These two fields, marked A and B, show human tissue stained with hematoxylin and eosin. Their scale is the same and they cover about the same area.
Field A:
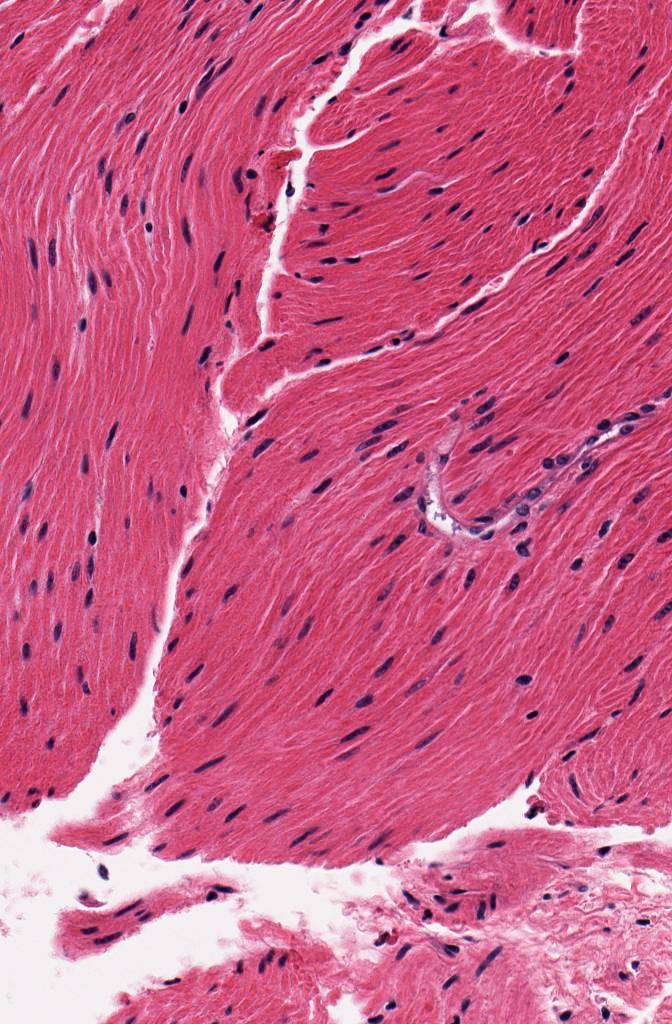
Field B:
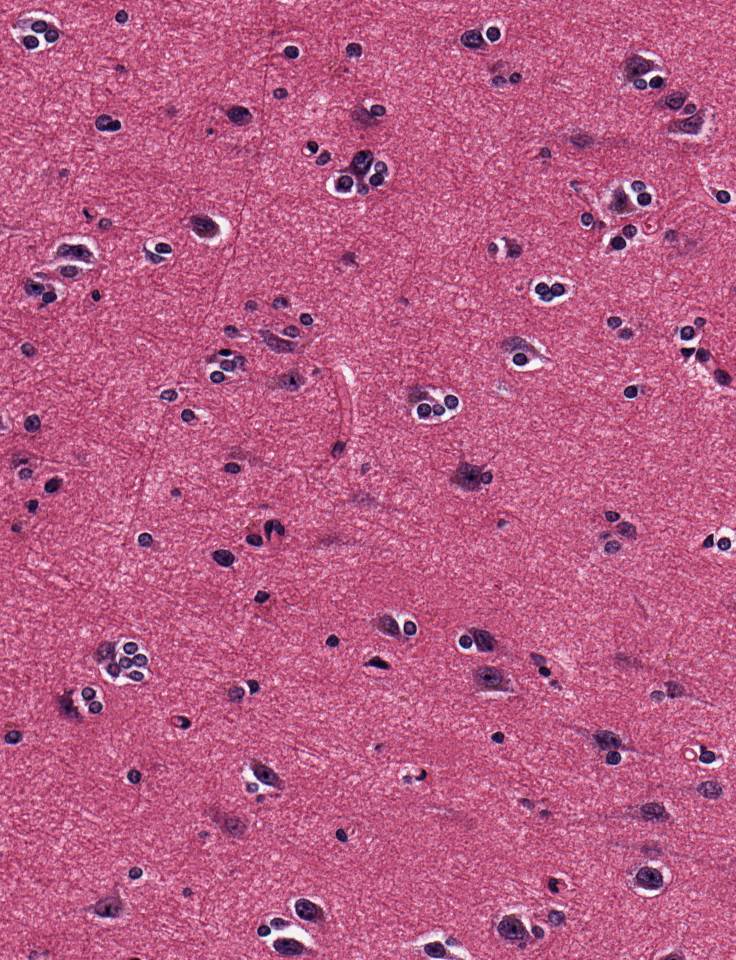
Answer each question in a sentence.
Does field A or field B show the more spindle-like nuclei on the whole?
On the whole the nuclei of field A are more drawn out than those of field B.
